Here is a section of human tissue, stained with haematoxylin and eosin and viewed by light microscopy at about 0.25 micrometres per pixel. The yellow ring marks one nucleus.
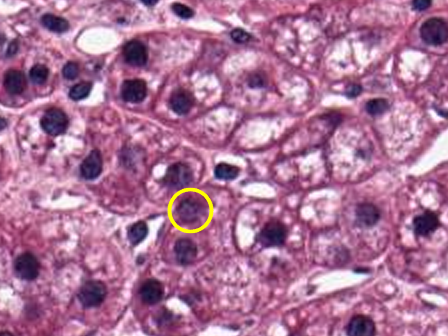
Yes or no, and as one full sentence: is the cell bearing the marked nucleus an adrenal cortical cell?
Yes, it is an adrenal cortical cell to which the marked nucleus belongs.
